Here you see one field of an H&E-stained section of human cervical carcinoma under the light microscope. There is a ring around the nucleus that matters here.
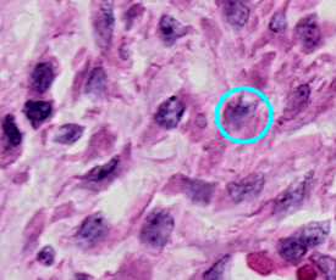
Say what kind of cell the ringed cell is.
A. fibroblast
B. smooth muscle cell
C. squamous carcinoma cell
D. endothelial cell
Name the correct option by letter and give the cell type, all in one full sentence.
The accurate option is A, with the ringed cell being a fibroblast.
